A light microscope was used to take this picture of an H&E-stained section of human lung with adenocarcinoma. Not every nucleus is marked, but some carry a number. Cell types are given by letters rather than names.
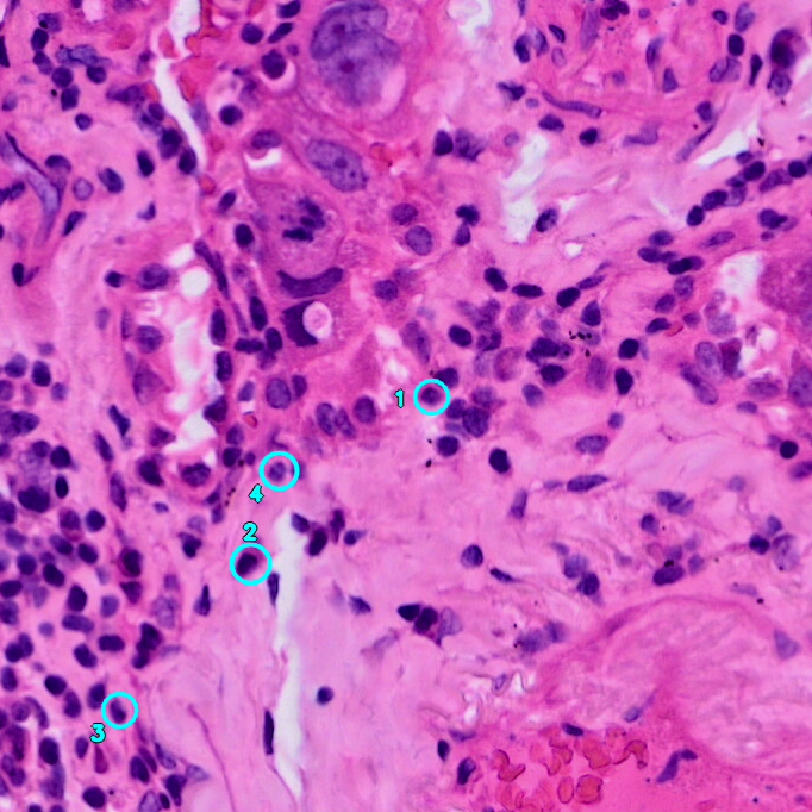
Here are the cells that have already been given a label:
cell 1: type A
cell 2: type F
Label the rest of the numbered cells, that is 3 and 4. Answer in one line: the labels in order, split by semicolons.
type A; type A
